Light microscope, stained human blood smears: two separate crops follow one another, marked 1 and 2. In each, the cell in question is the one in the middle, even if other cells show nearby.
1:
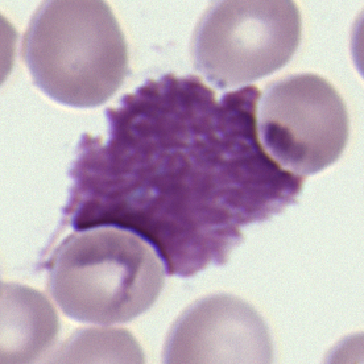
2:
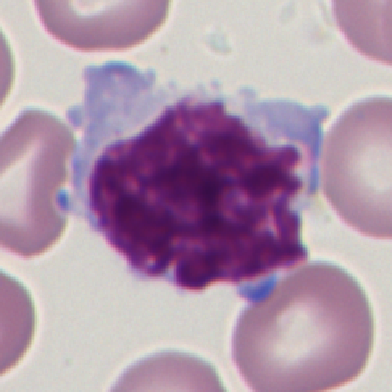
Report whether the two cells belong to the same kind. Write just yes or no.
no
